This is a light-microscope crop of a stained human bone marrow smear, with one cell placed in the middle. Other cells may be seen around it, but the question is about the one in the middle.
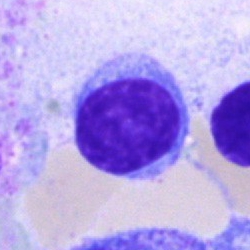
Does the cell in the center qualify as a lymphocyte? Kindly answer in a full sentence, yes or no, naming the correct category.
Yes, the cell that occupies the centre is a lymphocyte.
